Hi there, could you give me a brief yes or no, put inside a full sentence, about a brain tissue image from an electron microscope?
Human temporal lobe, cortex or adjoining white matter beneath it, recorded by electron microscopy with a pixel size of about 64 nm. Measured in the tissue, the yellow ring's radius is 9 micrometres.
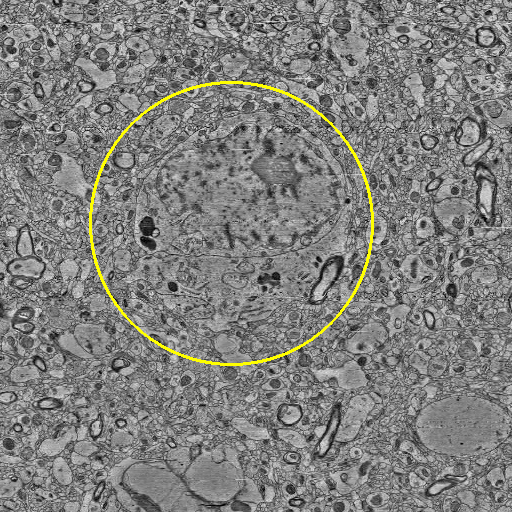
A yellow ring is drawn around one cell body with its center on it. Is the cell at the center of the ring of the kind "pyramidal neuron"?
No, the cell found at the center of the yellow ring is of a different kind.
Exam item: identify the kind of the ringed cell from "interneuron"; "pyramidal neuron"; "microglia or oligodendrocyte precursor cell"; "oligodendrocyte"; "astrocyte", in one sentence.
Here, the ring is centred on an interneuron instead.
